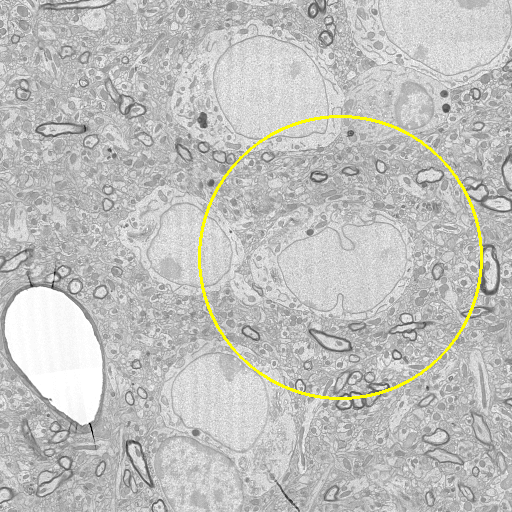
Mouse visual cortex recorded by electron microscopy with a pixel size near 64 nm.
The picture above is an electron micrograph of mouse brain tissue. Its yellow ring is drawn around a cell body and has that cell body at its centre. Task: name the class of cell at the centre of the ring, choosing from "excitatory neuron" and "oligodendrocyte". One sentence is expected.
The ring surrounds the body of an excitatory neuron.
